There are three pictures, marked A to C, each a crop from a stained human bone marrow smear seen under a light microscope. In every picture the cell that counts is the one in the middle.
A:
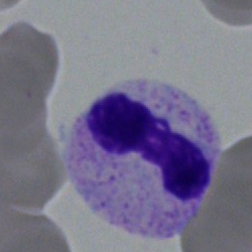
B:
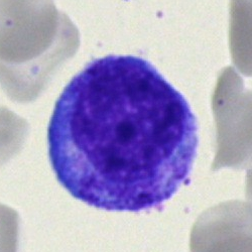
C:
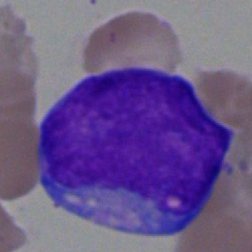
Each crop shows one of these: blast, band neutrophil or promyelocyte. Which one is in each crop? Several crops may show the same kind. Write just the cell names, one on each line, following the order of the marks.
band neutrophil
promyelocyte
blast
